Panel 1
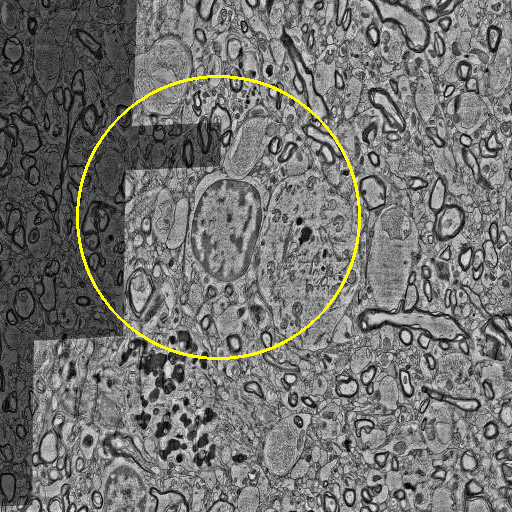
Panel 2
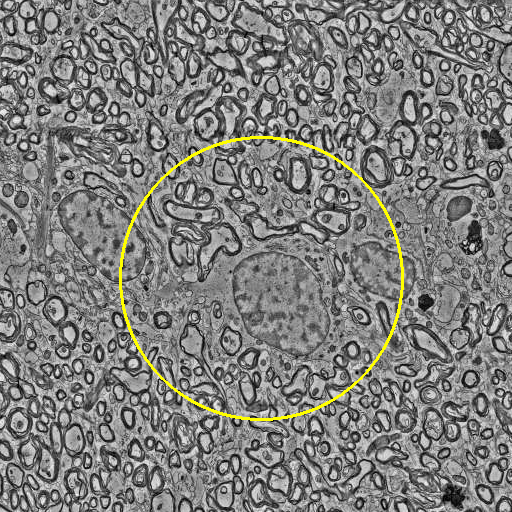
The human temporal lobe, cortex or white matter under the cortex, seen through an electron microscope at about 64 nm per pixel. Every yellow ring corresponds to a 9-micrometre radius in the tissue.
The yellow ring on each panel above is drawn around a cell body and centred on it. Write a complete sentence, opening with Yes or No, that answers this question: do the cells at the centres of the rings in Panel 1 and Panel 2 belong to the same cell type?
No, the two cells belong to two cell types.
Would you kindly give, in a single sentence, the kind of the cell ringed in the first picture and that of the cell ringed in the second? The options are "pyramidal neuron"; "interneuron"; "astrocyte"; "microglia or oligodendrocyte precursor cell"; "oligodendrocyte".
The second cell is an oligodendrocyte, and the first cell is a microglial cell or oligodendrocyte precursor cell.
